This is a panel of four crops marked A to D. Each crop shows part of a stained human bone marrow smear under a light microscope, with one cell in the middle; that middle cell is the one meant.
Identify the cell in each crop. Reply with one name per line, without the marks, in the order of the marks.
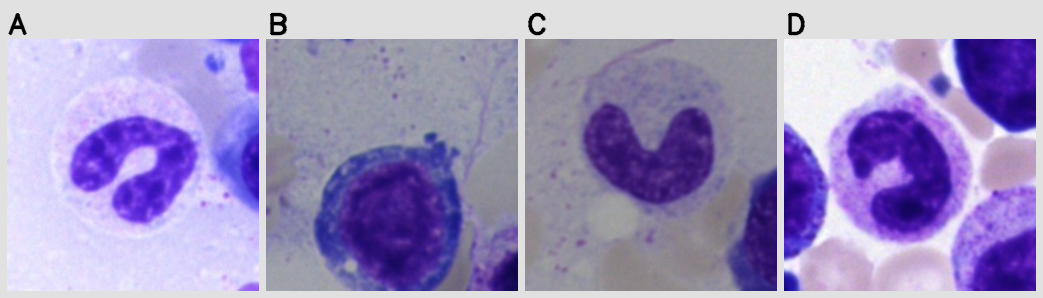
band neutrophil
proerythroblast
band neutrophil
band neutrophil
